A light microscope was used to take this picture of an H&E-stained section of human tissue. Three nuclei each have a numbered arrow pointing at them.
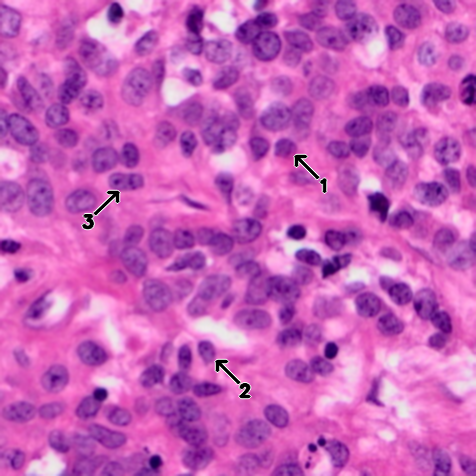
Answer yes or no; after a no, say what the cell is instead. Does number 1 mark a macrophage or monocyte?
No, it is a carcinoma cell.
